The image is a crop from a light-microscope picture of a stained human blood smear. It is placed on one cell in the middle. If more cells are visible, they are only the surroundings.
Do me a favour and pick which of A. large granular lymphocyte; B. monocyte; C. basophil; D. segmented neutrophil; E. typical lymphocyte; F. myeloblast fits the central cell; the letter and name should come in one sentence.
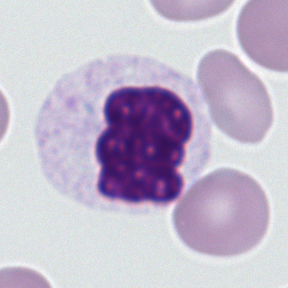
Since the middle cell is a segmented neutrophil, option D is the right one.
